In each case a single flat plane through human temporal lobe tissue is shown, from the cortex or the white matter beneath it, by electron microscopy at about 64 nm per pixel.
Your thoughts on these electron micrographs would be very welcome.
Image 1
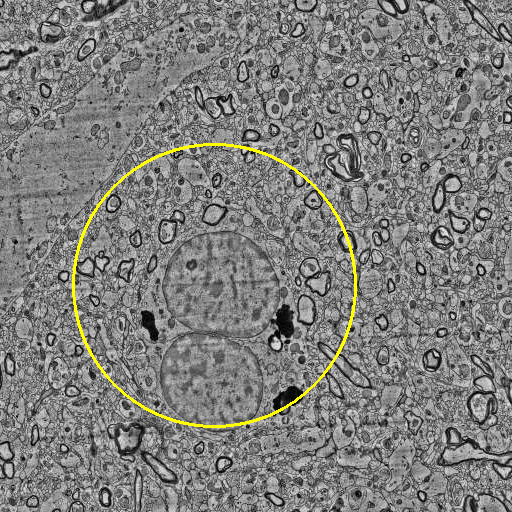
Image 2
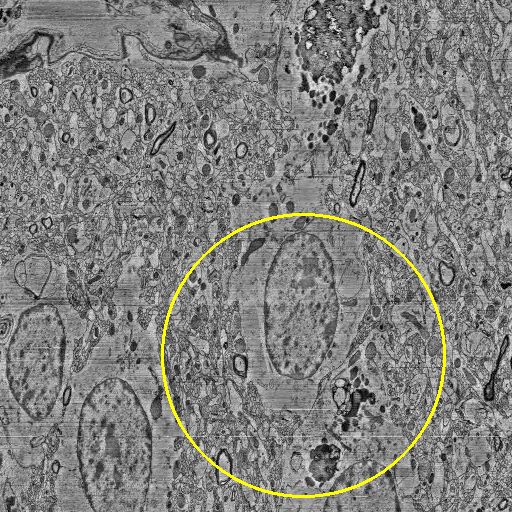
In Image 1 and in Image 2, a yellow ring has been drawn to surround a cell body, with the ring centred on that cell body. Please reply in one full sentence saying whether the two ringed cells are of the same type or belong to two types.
The ringed cells in Image 1 and Image 2 belong to two types.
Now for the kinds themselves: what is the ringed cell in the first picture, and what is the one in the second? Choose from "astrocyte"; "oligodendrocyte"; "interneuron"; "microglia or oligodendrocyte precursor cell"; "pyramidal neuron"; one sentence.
Here the first cell is an oligodendrocyte and the second cell is an astrocyte.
